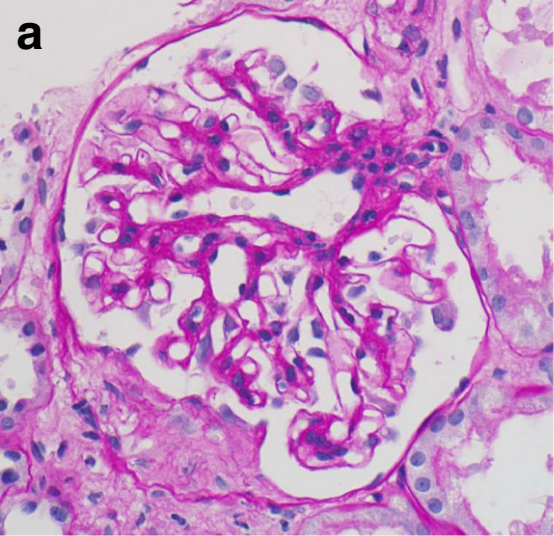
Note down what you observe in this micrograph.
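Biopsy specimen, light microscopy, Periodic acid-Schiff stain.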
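Between the tuft and Bowman's capsule, especially at the lower left, a crescent of pale pink fibrous material with scattered cells fills part of Bowman's space. Nuclei are dark blue and crowd the tuft, and the surrounding tubules show pale cytoplasm.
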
